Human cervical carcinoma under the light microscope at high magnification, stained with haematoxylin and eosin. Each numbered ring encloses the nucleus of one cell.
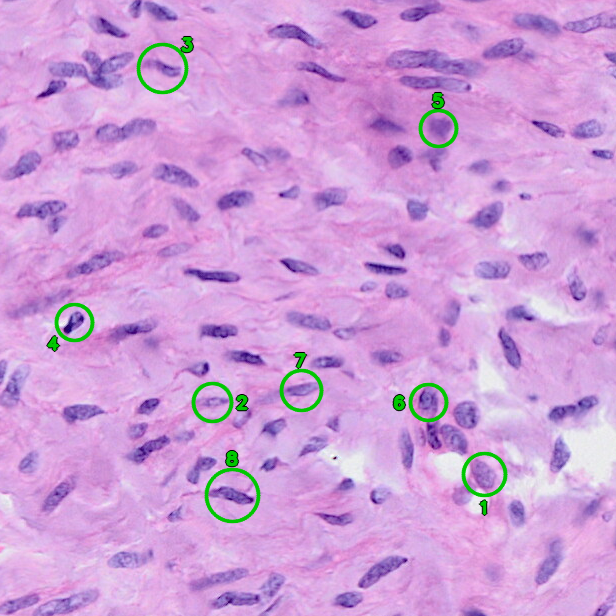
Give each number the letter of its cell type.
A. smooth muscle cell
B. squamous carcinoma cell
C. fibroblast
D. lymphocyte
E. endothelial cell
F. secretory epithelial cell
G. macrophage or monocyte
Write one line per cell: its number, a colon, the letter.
1: E
2: A
3: C
4: D
5: C
6: E
7: A
8: C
